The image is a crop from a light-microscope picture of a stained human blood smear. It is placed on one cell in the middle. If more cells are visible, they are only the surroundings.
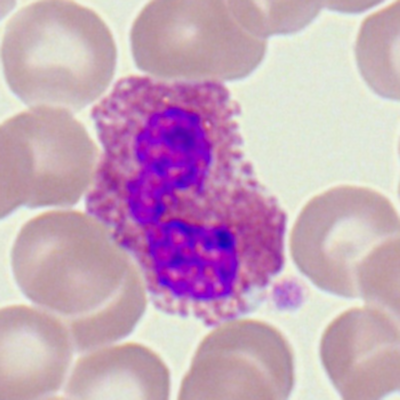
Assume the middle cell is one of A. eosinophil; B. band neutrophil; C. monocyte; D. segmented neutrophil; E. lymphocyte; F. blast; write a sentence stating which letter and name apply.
The correct option here is A; the middle cell is an eosinophil.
